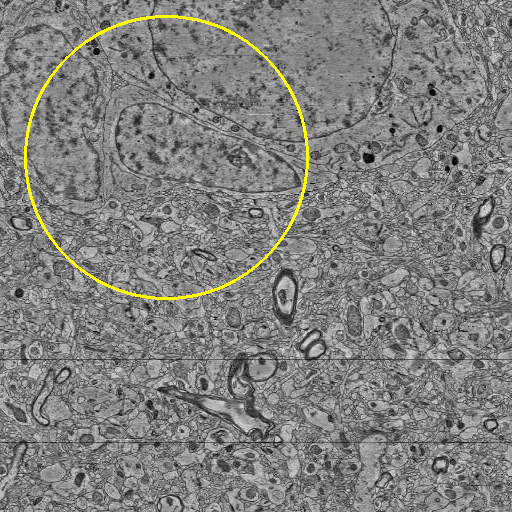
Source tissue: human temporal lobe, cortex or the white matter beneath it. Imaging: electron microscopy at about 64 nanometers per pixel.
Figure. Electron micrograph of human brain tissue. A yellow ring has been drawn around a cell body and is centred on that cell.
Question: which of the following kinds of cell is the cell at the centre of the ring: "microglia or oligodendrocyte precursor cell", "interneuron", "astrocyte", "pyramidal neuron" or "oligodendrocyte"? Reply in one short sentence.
The cell at the centre of the ring is a microglial cell or oligodendrocyte precursor cell.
